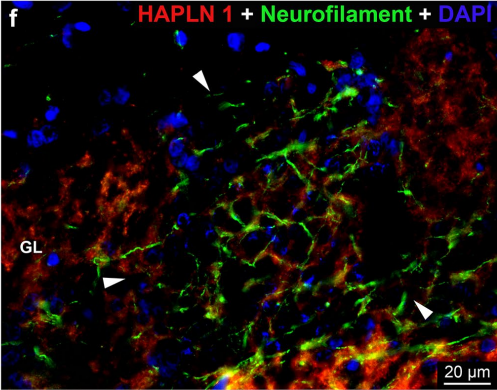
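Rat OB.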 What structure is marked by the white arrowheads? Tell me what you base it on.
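Border of periglomerular area. Blue nuclei are scattered between these zones.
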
